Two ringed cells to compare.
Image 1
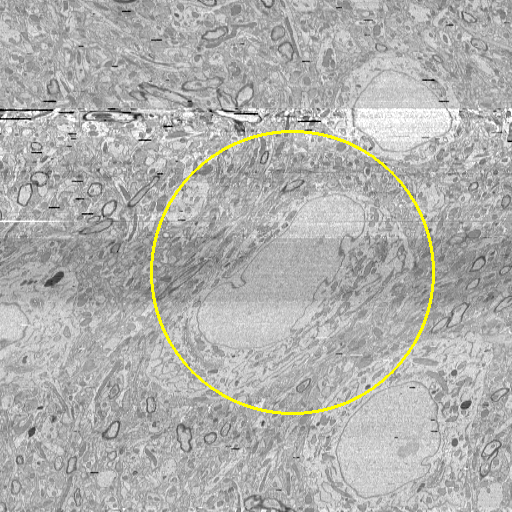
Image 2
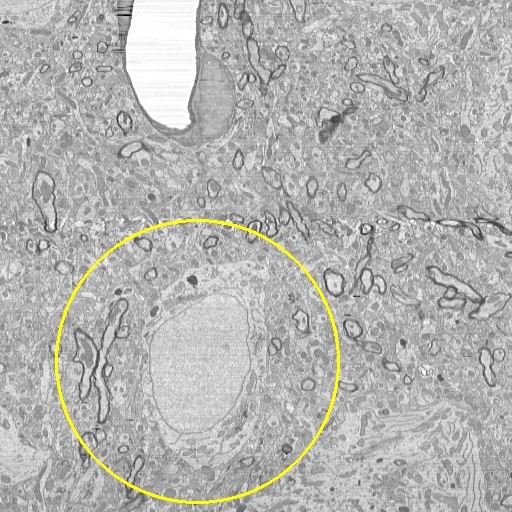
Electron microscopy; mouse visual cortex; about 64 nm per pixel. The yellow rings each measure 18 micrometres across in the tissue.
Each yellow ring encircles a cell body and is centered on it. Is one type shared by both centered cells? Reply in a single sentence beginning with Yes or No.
Yes, a single type is shared by the two cells at the centers of the rings.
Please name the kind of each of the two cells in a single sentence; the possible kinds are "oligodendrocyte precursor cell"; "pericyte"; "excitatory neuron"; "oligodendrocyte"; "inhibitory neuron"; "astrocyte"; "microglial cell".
In the first picture and in the second, the ring is centred on an inhibitory neuron.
